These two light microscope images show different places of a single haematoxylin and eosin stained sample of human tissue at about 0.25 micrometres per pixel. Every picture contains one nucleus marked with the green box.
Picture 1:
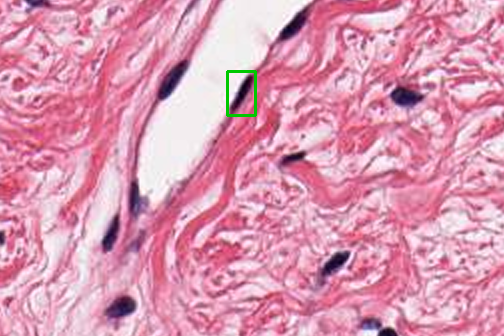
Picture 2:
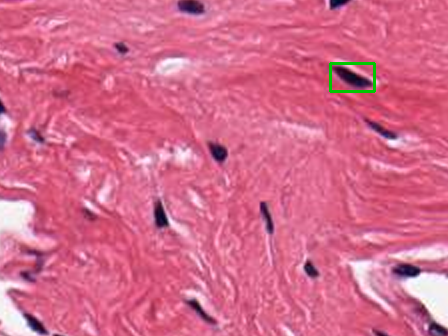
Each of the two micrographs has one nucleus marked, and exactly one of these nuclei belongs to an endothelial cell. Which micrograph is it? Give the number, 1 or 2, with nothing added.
1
